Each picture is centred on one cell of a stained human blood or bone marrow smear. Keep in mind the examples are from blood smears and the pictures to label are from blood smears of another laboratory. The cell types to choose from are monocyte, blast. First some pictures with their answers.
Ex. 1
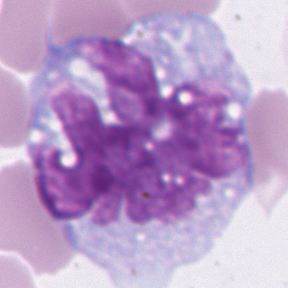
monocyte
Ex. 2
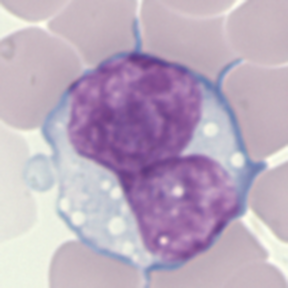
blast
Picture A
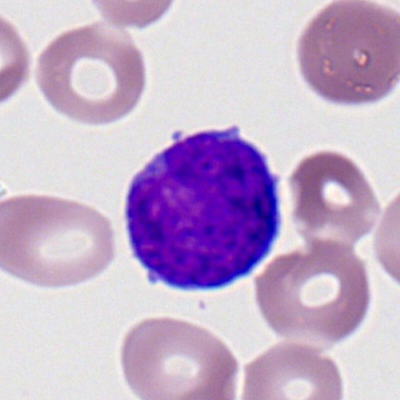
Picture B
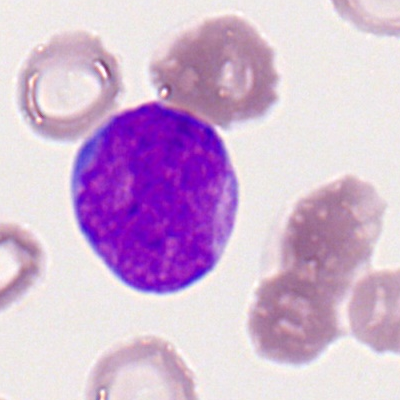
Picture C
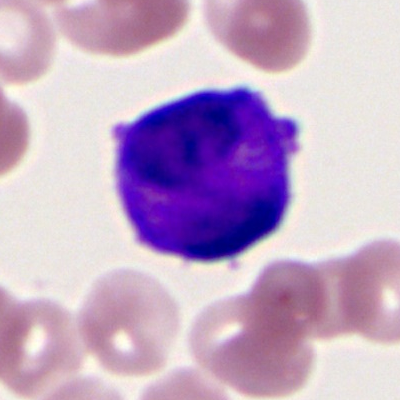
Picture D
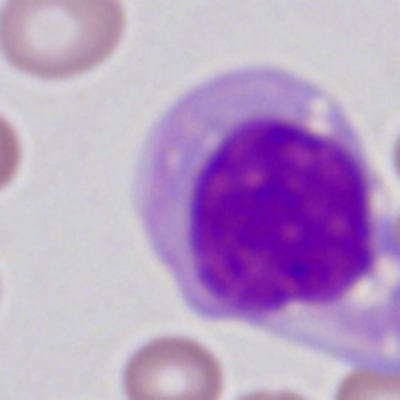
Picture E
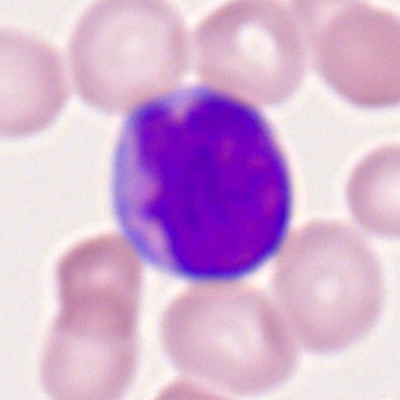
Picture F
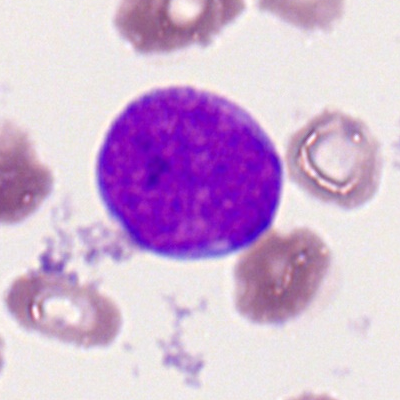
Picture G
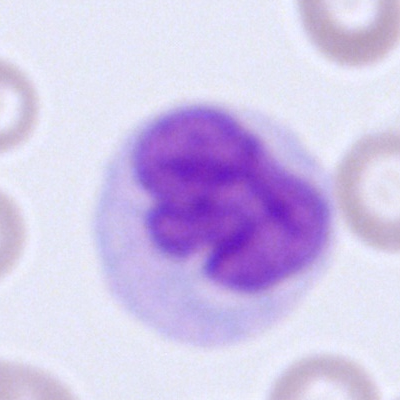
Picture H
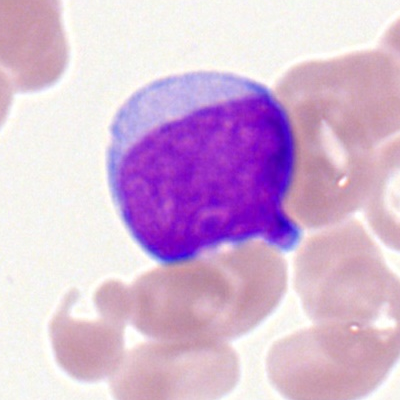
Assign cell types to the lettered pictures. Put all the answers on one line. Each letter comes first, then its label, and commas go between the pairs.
A blast, B blast, C blast, D monocyte, E blast, F blast, G monocyte, H blast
